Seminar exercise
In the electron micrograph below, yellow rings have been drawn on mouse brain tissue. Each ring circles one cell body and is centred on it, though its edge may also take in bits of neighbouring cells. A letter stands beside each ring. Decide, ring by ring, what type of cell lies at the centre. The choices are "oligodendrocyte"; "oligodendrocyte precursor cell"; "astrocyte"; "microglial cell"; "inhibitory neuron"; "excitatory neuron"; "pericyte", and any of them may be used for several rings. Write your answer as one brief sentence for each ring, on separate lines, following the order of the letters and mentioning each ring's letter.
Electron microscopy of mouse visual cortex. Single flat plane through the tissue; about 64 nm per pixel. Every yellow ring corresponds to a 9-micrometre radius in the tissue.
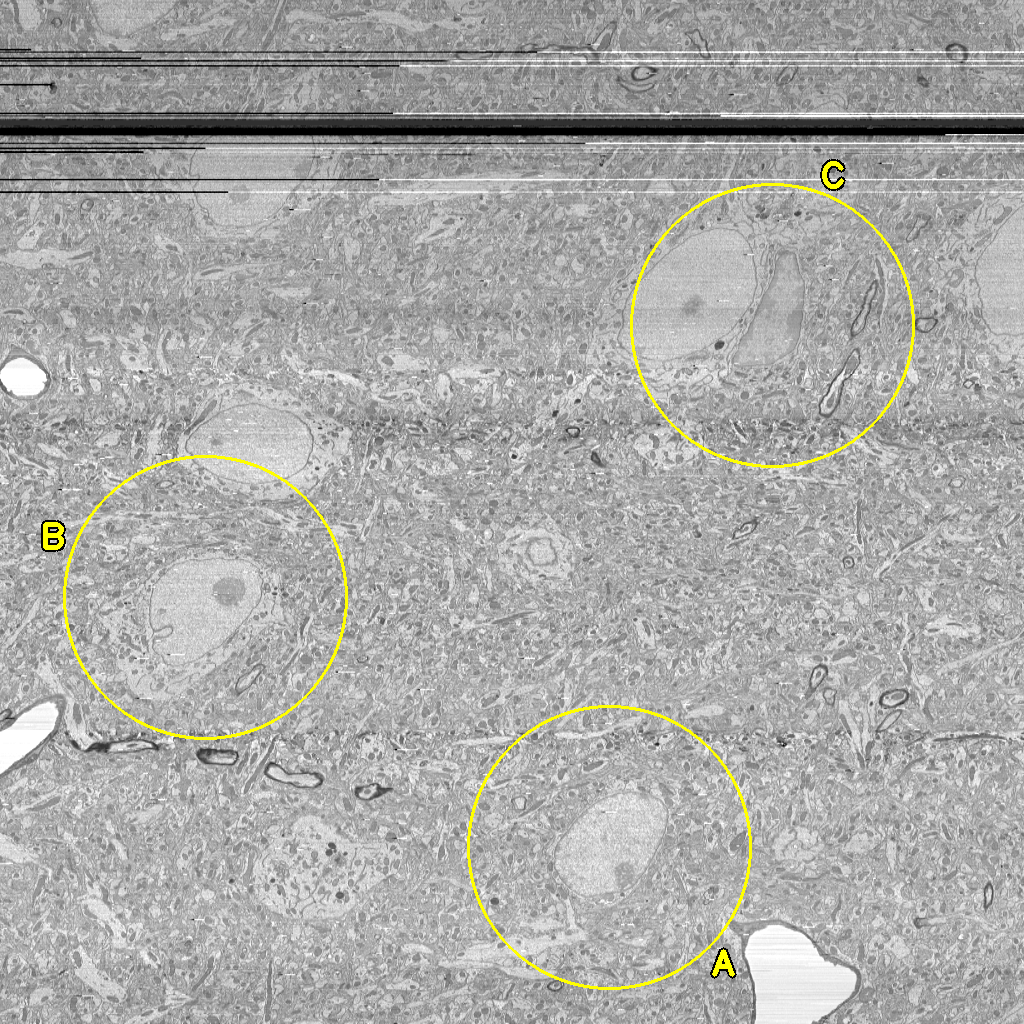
The cell in the middle of ring A is an astrocyte.
The cell in the middle of ring B is an excitatory neuron.
The cell in the middle of ring C is a microglial cell.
